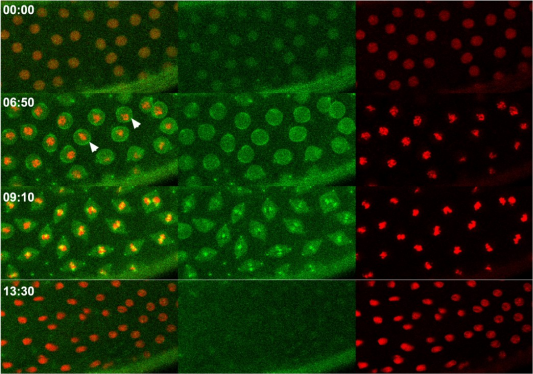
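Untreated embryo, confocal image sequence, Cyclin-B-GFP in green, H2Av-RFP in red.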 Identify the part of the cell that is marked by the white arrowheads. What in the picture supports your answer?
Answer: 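The arrowheads point at round nuclei with a brighter green ring at their edge. Inside the green rings the red chromatin is condensed into small compact bodies. So: nuclear rim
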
